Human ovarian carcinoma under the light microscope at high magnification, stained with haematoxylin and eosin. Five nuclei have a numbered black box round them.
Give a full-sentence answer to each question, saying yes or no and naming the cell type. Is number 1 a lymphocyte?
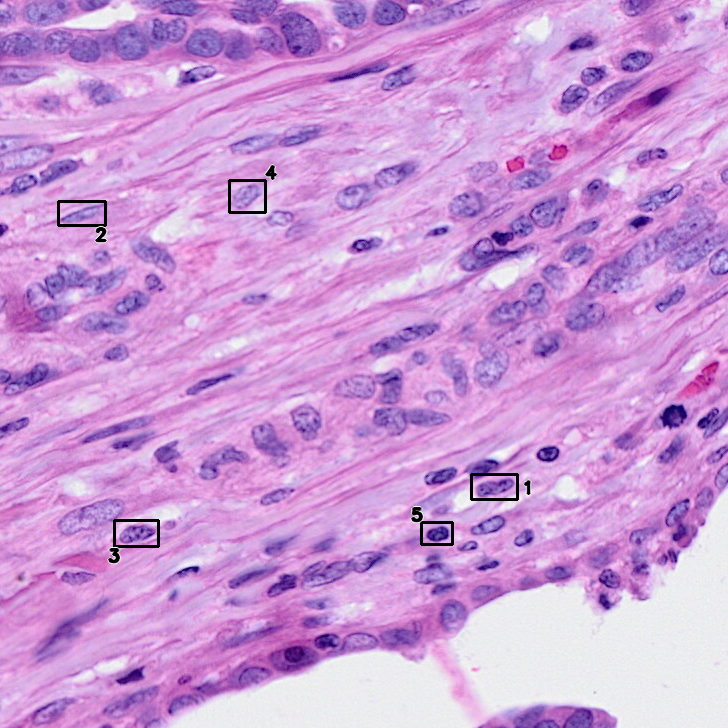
No, the identification of cell 1 as a lymphocyte is incorrect; it is a macrophage or monocyte.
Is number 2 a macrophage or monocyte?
No, cell 2 is classified as a fibroblast rather than a macrophage or monocyte.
